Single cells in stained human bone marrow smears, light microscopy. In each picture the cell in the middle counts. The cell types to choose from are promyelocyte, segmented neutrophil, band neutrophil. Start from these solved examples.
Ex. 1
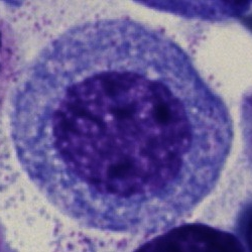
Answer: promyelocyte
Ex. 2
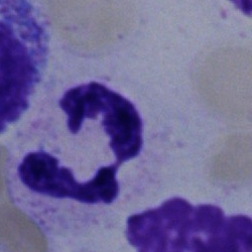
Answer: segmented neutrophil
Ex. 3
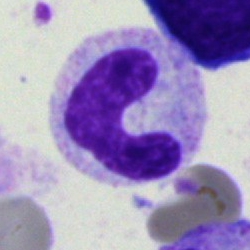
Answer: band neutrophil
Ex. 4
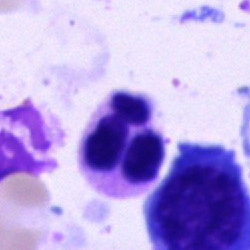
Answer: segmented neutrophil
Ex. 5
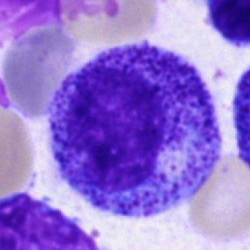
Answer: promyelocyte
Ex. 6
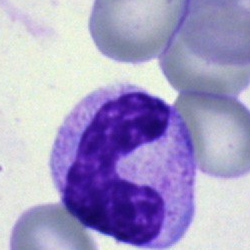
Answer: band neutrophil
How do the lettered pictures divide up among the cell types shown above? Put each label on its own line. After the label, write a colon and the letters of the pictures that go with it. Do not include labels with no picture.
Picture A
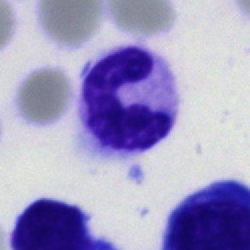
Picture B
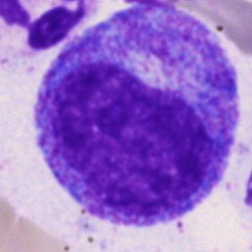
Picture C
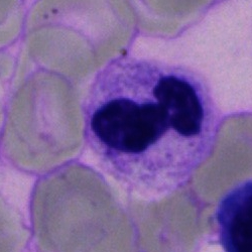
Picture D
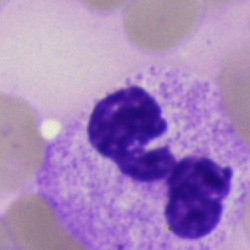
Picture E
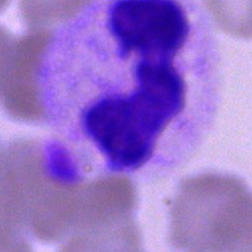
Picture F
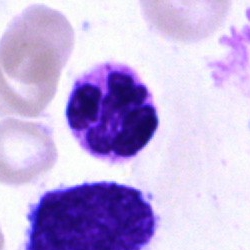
promyelocyte: B
segmented neutrophil: A, C, D, E, F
